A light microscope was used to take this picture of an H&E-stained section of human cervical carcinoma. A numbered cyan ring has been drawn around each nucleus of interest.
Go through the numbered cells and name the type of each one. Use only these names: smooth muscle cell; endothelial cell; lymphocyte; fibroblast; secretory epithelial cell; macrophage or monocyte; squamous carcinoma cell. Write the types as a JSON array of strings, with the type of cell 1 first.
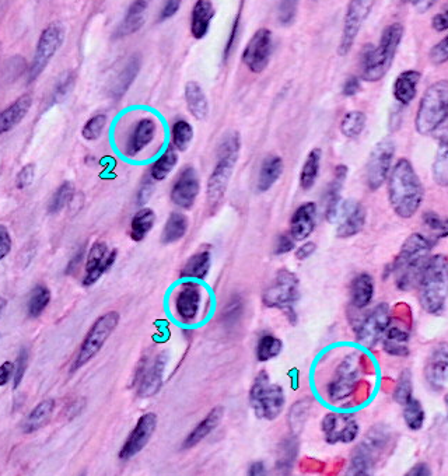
["endothelial cell", "lymphocyte", "lymphocyte"]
